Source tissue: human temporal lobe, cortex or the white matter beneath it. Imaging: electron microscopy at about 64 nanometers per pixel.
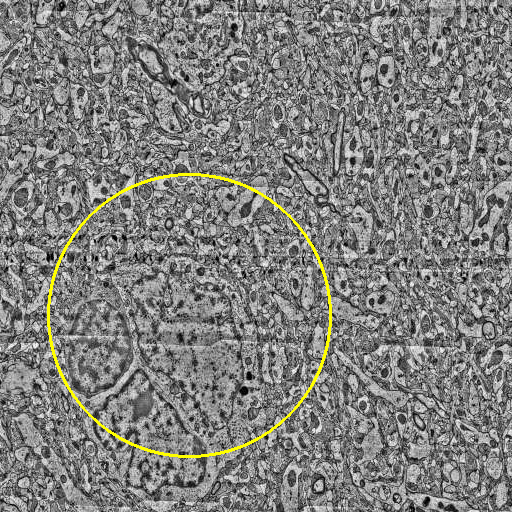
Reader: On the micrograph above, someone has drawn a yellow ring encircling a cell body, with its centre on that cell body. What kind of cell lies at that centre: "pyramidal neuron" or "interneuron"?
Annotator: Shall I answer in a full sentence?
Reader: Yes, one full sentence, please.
Here an interneuron sits at the centre of the yellow ring drawn on the micrograph.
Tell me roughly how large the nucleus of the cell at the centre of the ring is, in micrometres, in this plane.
About 14 by 12 micrometers, in this plane.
